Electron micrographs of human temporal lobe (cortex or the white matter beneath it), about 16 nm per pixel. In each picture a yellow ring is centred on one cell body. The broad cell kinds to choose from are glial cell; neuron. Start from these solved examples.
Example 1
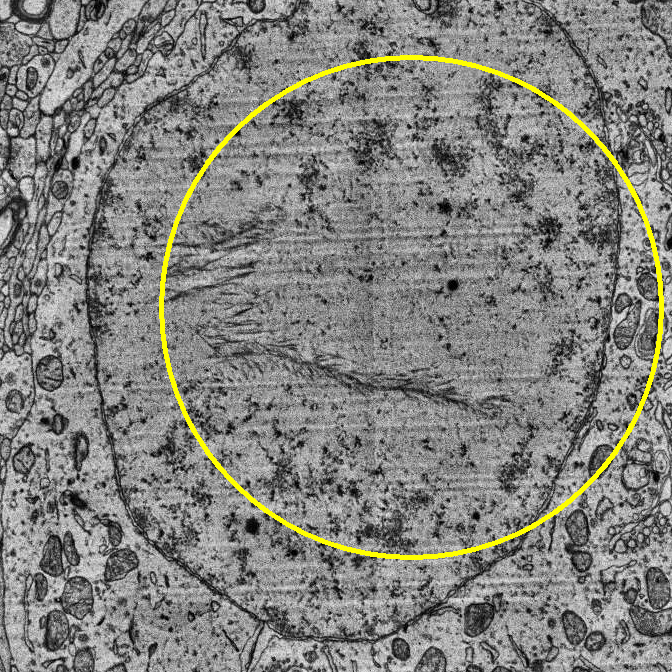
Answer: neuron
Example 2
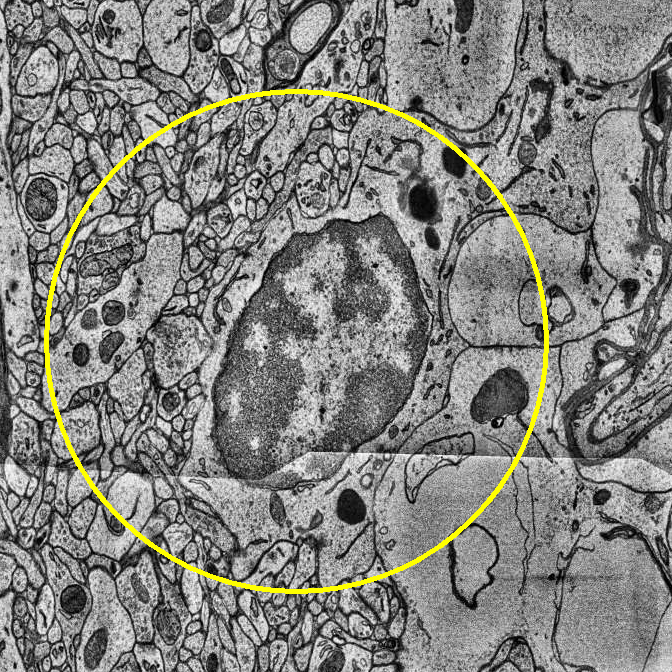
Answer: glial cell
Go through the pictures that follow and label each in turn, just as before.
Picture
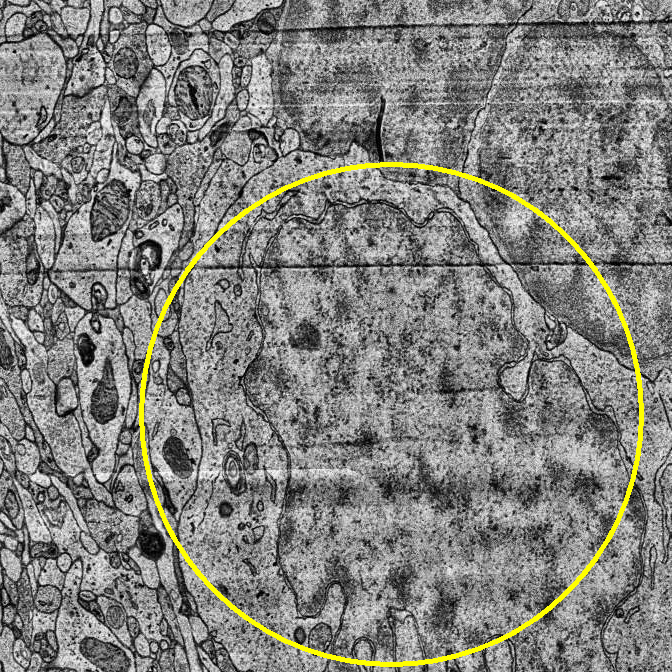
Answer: neuron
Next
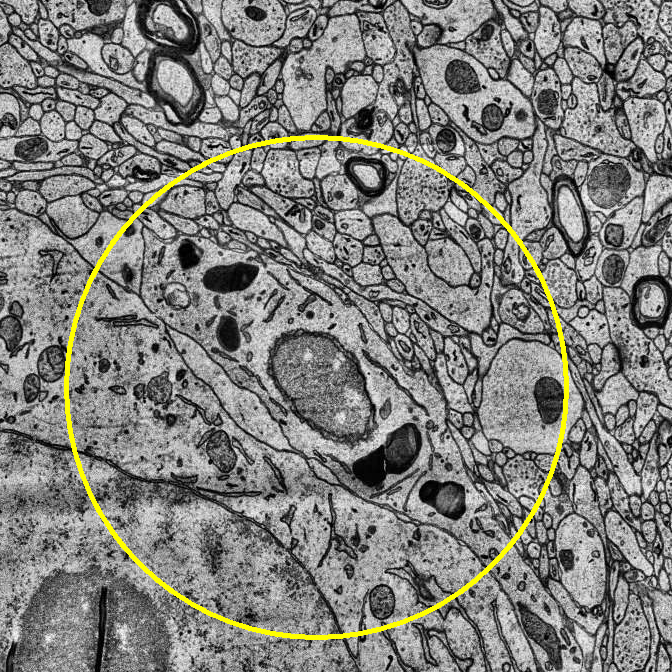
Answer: glial cell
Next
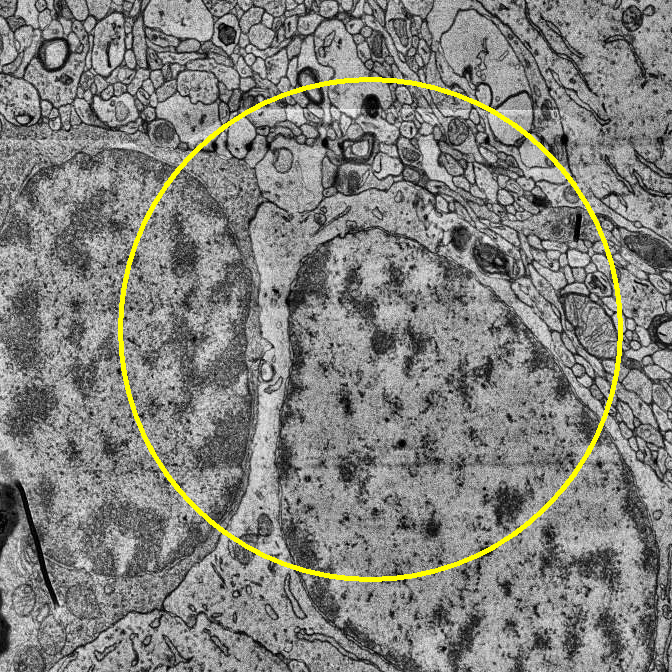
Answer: glial cell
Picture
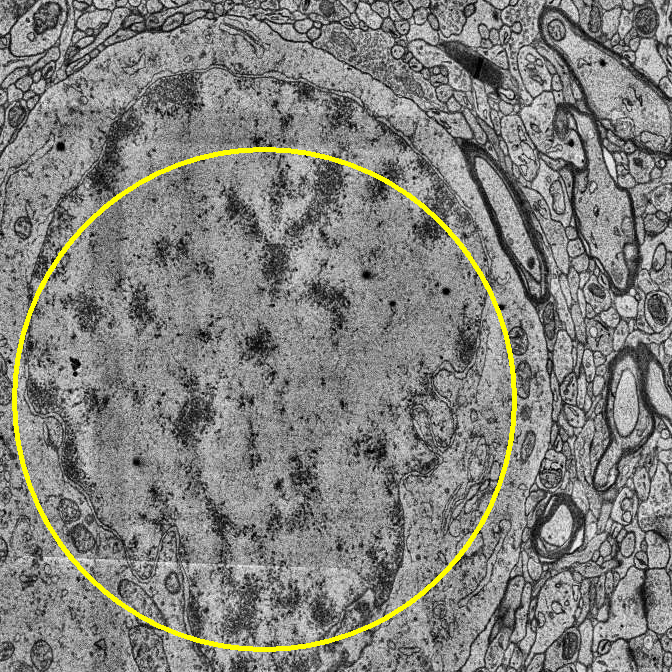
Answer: neuron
